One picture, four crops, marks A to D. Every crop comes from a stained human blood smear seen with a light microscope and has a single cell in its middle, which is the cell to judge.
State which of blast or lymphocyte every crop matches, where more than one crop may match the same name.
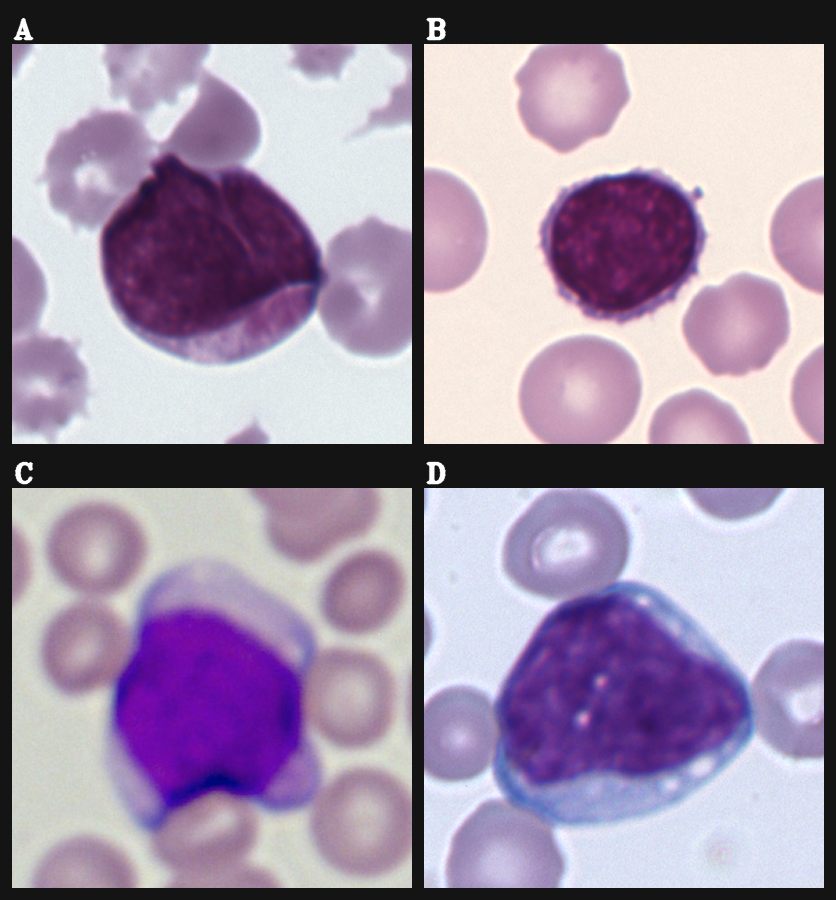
A: blast
B: lymphocyte
C: blast
D: blast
